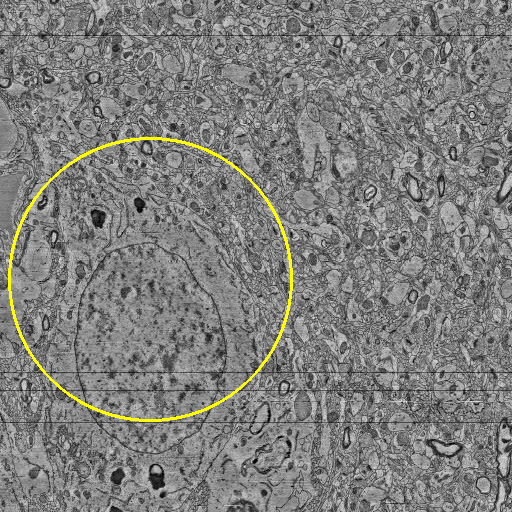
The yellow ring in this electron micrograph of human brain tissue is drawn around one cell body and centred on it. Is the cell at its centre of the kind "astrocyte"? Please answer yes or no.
no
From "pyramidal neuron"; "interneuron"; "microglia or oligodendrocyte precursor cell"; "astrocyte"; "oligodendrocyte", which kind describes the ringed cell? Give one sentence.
The cell at the middle of the ring is a pyramidal neuron.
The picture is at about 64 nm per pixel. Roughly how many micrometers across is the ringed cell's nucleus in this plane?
In this plane, roughly 14 by 10 micrometres.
